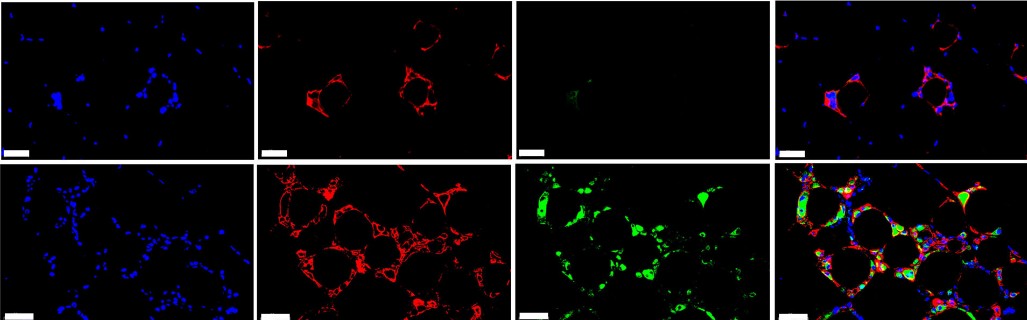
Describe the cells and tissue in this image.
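White adipose tissue is seen in two rows of four images each: blue, red and green channels, then their overlay. The large adipocytes look like empty dark round spaces. The red signal outlines them as thin rims. Where cells crowd together, the red rims are thickened into dense wreaths. Blue nuclei lie scattered between the adipocytes and gather in these clusters. In the upper row the crowded red clusters are few and the green signal is nearly absent. In the lower row nuclei are more numerous and the red wreaths surround many adipocytes. Many bright green cells lie within the red-rimmed clusters, appearing yellow-orange where the colours overlap.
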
